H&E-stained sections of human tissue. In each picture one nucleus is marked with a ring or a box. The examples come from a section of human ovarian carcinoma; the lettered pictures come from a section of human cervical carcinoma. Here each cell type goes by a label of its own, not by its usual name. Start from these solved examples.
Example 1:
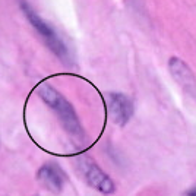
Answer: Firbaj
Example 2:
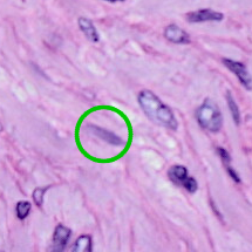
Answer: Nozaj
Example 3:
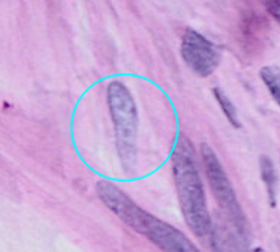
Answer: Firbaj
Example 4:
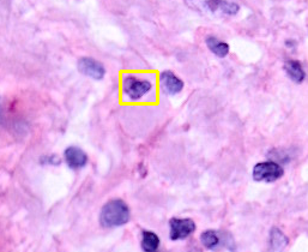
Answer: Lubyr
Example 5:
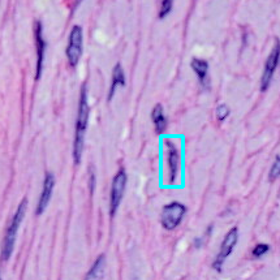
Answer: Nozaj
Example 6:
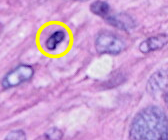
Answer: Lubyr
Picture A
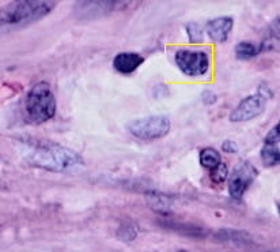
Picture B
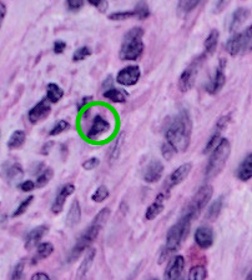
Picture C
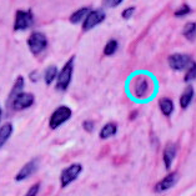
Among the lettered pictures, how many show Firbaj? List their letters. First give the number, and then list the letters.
Count: 1 (C)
